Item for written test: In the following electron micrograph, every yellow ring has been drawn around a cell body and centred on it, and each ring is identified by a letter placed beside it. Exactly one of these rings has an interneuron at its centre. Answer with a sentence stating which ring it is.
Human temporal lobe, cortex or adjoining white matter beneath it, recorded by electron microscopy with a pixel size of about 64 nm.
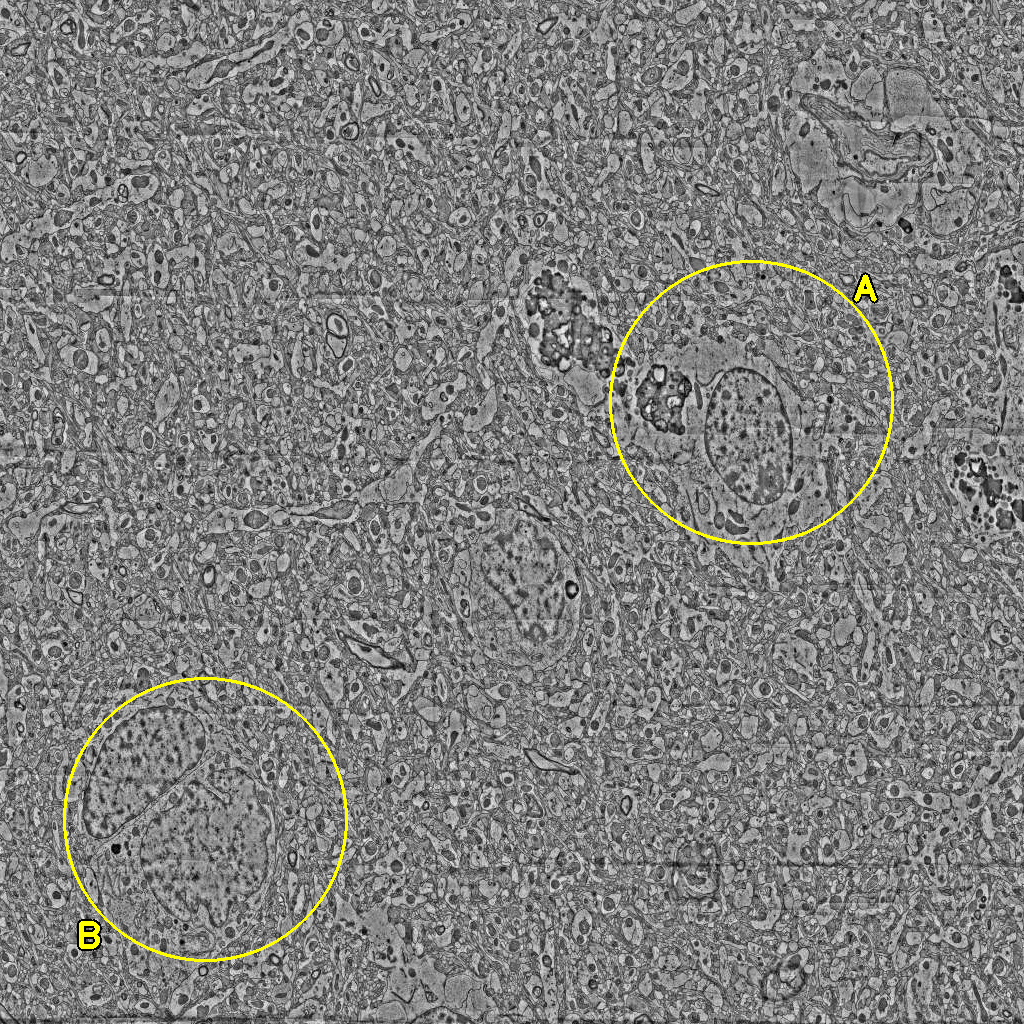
It is ring B.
